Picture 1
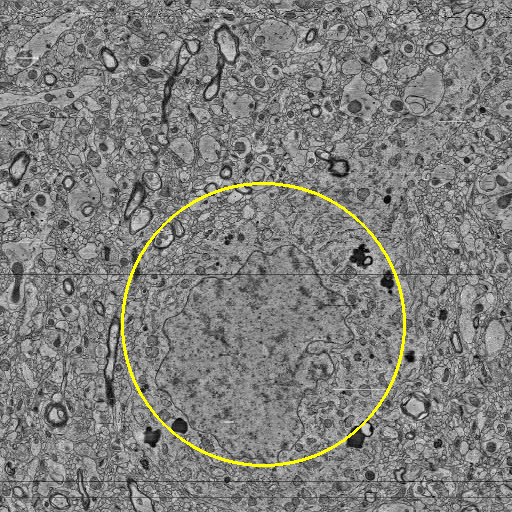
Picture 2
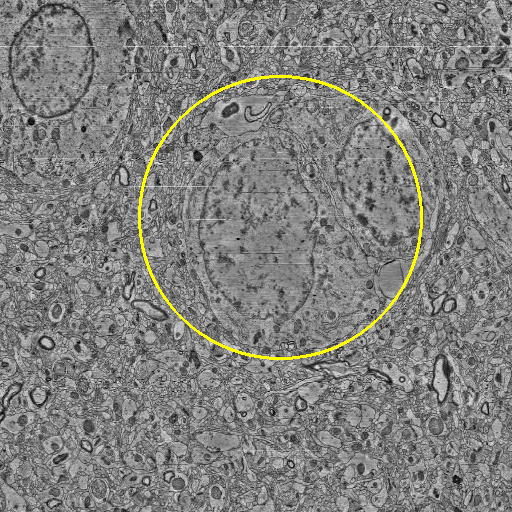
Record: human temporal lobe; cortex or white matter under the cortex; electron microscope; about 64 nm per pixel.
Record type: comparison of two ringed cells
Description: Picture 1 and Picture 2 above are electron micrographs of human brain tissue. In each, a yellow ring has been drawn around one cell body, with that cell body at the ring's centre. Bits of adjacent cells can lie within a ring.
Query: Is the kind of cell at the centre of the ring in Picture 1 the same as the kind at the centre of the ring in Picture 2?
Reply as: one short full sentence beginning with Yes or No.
No, the two ringed cells are of two separate kinds.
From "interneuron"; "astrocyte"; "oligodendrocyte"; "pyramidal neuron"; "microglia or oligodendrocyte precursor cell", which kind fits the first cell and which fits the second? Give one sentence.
The cell marked in the first picture is a pyramidal neuron, and the one marked in the second is an interneuron.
